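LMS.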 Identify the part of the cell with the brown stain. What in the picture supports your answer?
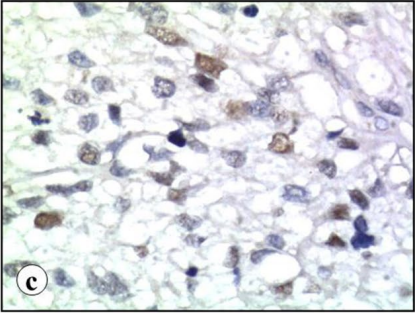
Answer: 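Brown colour lies over round to oval nuclear profiles. Cytoplasm around the brown nuclei is pale and unstained.
Conclusion: nuclei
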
